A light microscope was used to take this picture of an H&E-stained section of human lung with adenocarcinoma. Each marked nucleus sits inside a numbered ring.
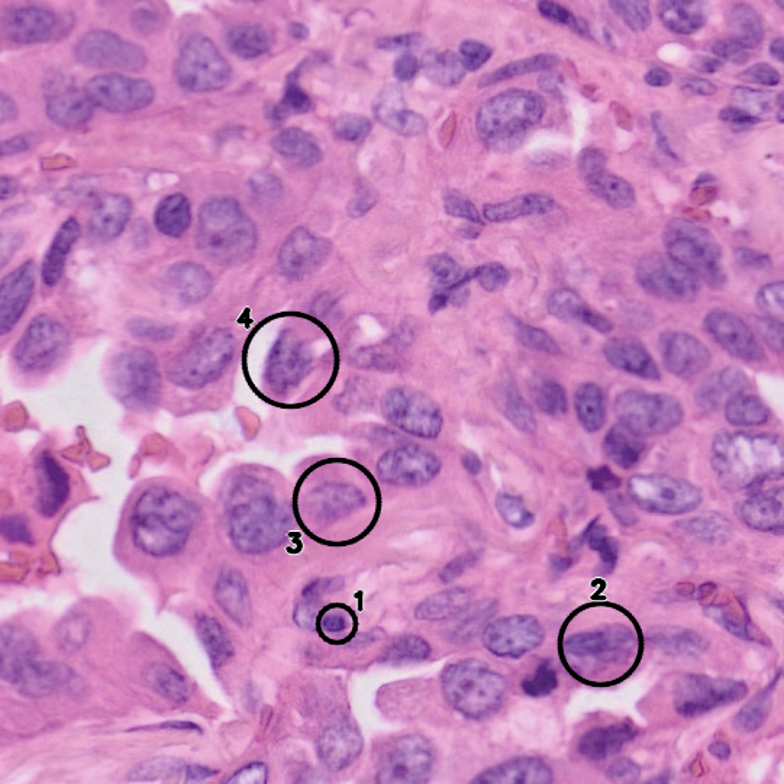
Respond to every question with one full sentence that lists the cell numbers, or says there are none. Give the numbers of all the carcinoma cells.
Within this tissue, the cells numbered 2, 3 and 4 are carcinoma cells.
